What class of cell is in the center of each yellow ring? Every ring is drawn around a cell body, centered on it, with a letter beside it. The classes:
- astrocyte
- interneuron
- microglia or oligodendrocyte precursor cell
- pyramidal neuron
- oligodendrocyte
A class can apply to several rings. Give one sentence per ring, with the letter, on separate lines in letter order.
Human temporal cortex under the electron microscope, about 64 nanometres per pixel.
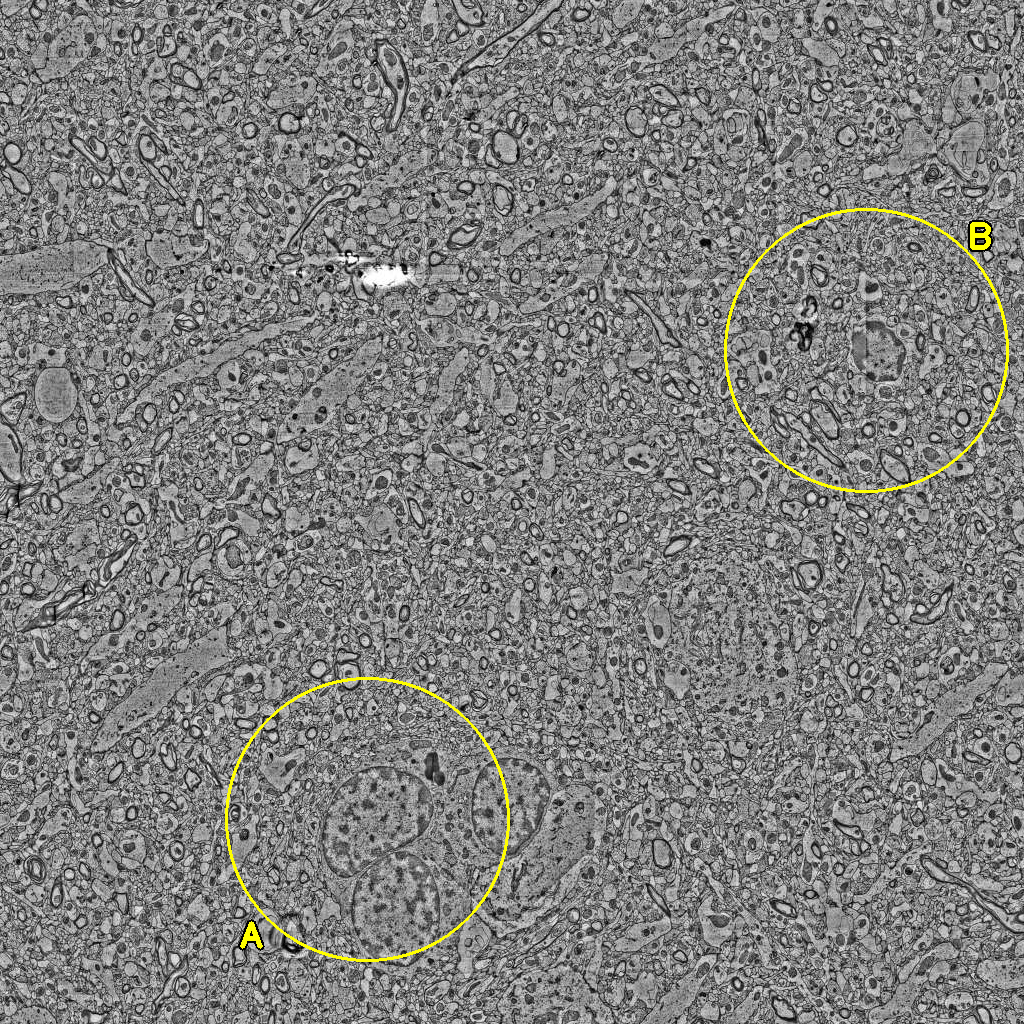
Ring A holds an oligodendrocyte at its center.
Ring B holds a microglial cell or oligodendrocyte precursor cell at its center.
